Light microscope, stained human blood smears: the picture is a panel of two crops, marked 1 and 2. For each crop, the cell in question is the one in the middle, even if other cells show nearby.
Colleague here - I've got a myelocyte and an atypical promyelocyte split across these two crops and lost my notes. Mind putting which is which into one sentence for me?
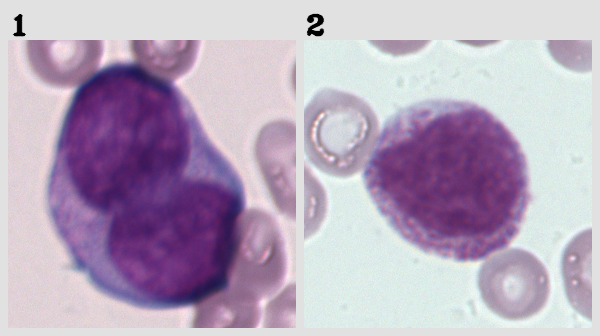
While crop 1 is an atypical promyelocyte, crop 2 is a myelocyte.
